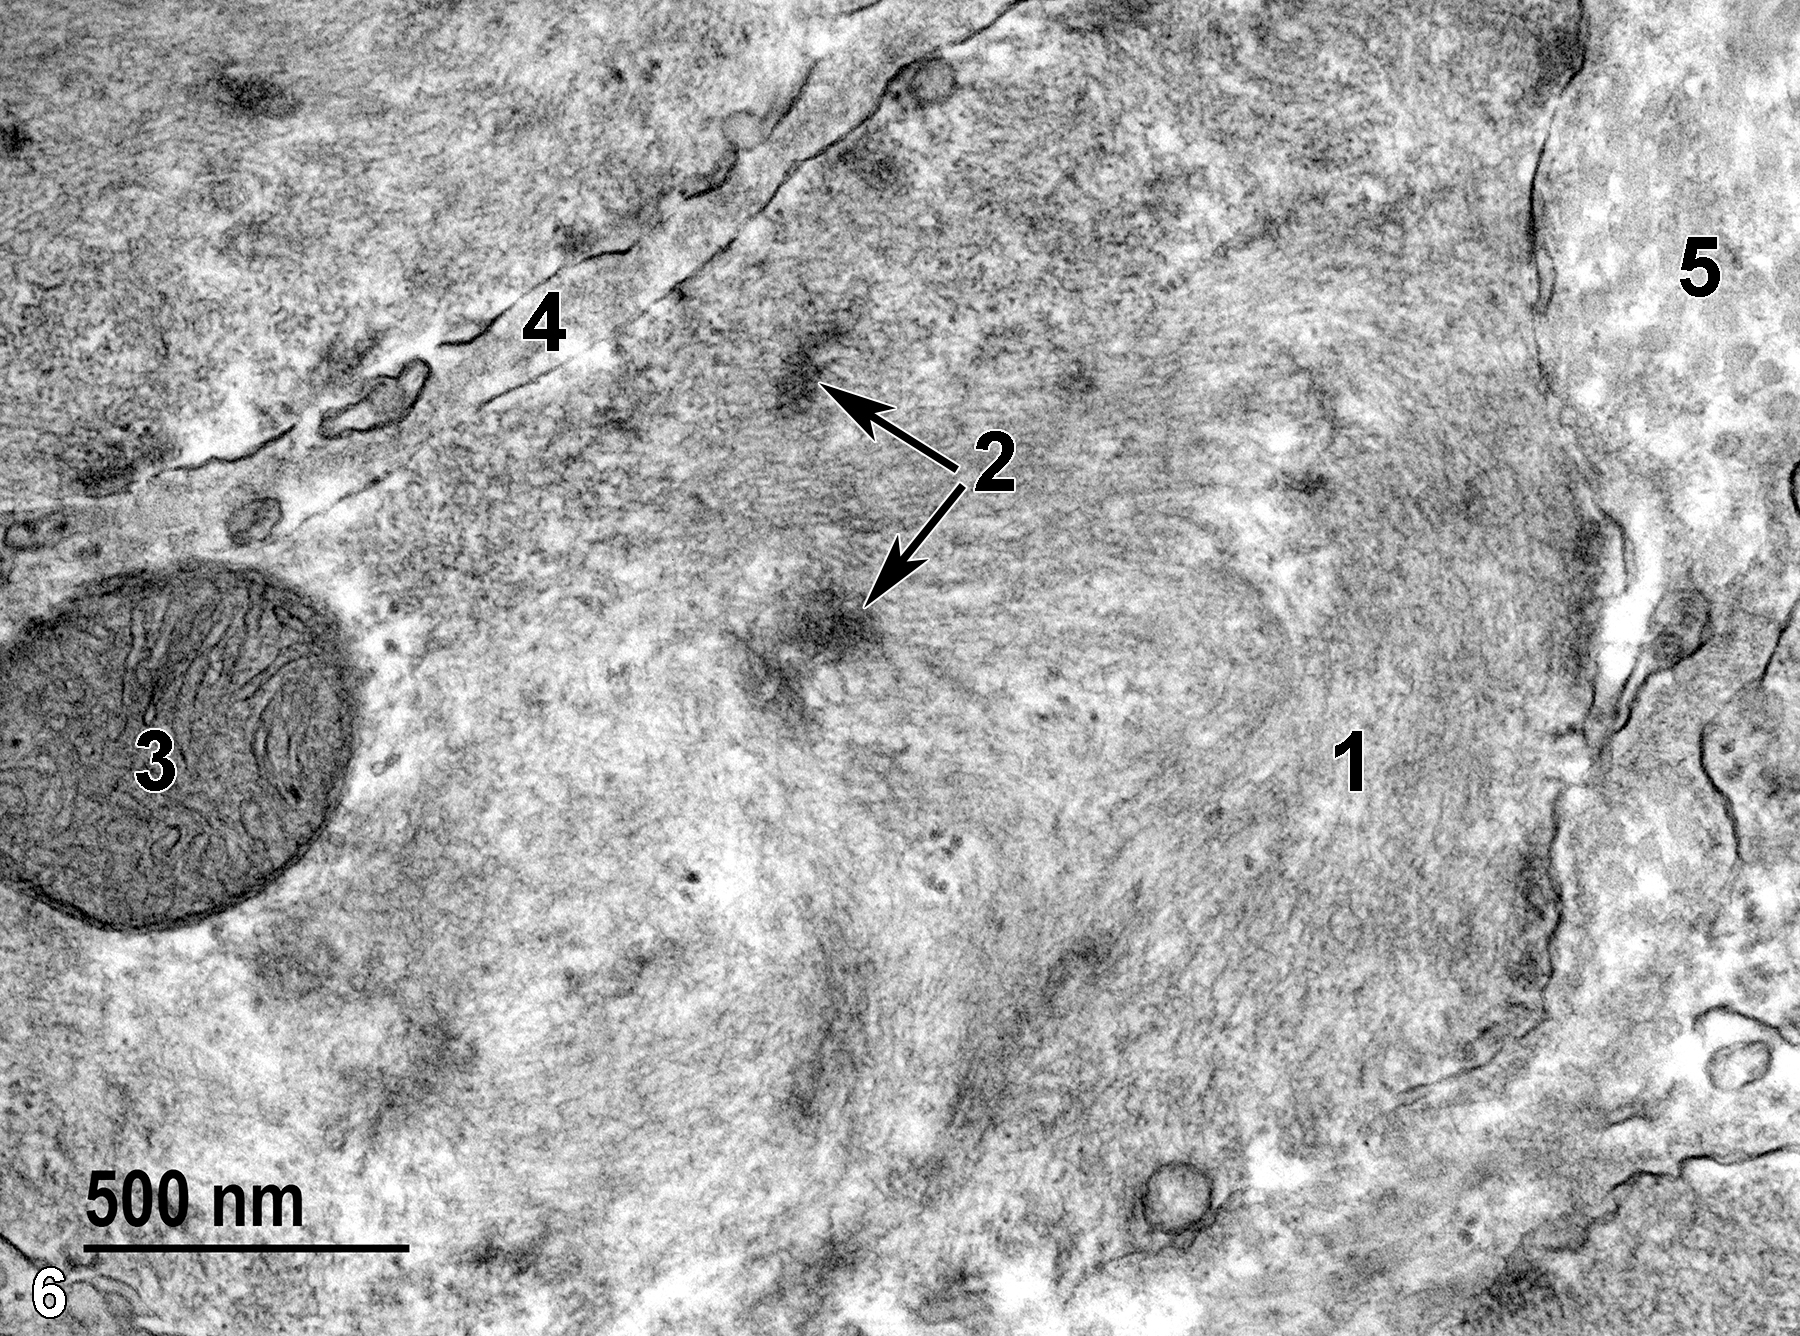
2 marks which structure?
Dense bodies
